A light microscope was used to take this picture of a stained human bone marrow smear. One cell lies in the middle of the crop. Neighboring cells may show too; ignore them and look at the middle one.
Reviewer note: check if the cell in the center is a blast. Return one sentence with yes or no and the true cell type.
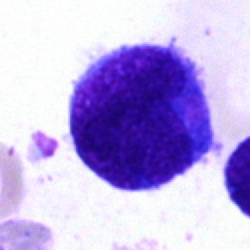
Yes, as regards the cell in the middle, it is a blast.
